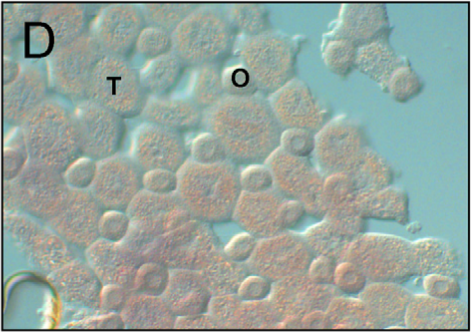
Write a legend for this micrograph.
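This is a single layer of fat body with large trophocytes and smaller oenocytes. The trophocytes are polygonal to rounded and their cytoplasm is coarsely granular and mostly pale grey with only a faint pink tint. Oenocytes appear as smaller rounded cells with a distinct round nucleus, lying between the trophocytes. Toward one edge the sheet breaks off into clear background.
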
